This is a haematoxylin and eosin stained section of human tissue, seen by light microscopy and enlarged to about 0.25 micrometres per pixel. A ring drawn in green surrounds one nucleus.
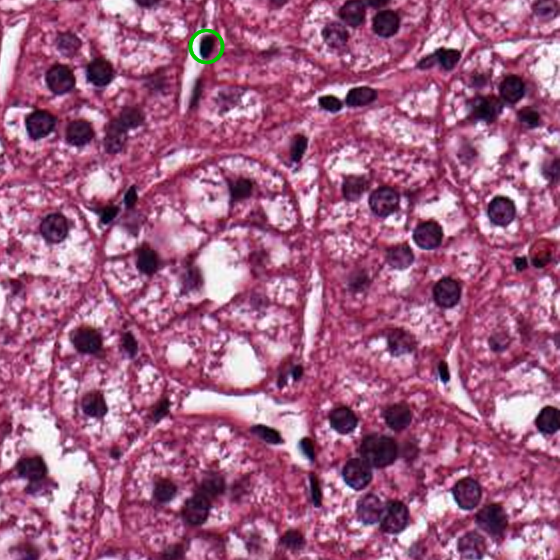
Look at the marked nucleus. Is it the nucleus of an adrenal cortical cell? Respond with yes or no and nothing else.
no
